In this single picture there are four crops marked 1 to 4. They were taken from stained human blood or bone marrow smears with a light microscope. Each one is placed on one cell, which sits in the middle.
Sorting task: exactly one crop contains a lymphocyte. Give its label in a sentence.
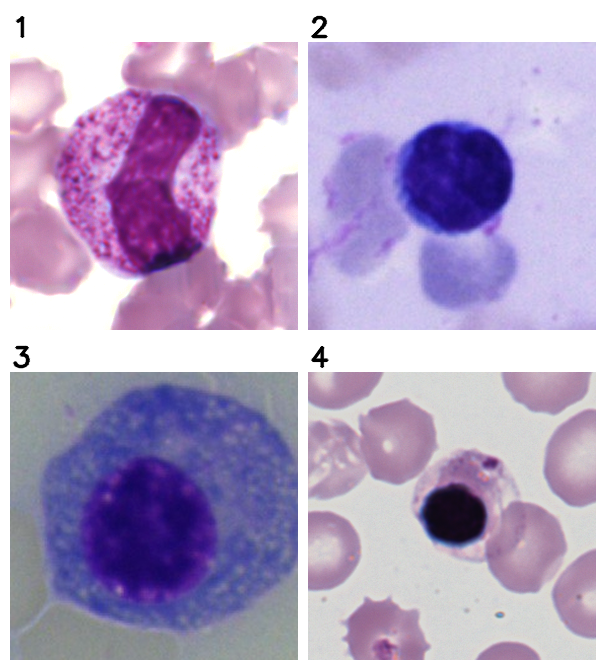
Of the crops shown, crop 2 depicts a lymphocyte.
